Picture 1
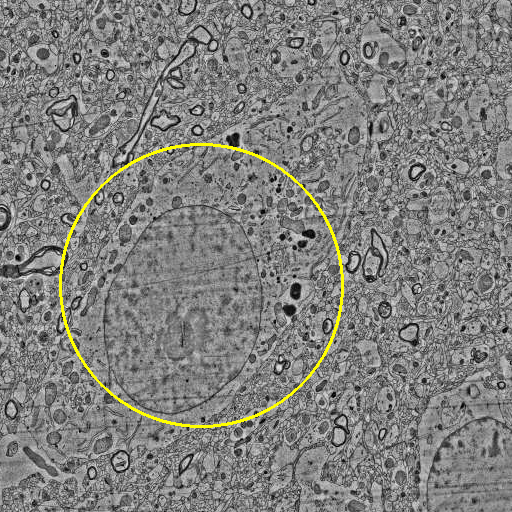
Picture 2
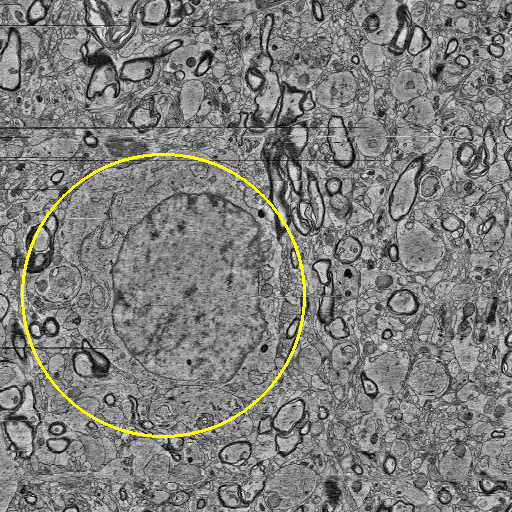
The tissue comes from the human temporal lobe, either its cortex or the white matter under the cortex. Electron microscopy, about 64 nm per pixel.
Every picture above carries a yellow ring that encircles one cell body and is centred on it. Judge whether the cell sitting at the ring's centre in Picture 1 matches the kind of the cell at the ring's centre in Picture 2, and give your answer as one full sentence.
Yes, the cells centred in the rings of Pictures 1 and 2 belong to one kind.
